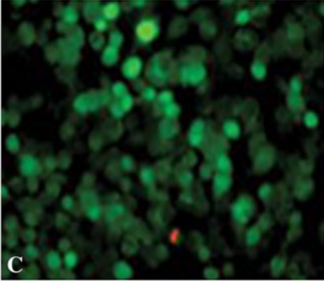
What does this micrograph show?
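The field is densely packed with small round cells, almost all of them green. A single small red cell lies near the lower edge.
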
